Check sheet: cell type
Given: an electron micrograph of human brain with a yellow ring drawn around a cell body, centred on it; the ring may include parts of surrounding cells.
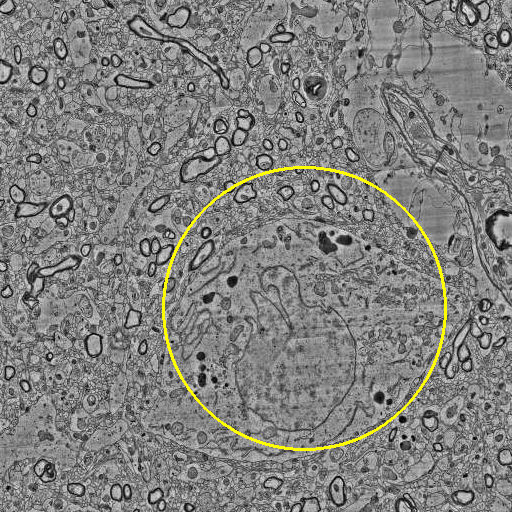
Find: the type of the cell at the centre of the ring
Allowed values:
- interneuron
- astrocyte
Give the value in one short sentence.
Here the ringed cell is an interneuron.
